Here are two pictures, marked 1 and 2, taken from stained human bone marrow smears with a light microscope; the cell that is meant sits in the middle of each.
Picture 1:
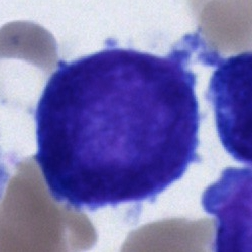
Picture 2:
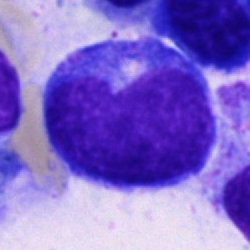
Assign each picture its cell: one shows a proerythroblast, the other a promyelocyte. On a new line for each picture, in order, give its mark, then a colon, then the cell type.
1: proerythroblast
2: promyelocyte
